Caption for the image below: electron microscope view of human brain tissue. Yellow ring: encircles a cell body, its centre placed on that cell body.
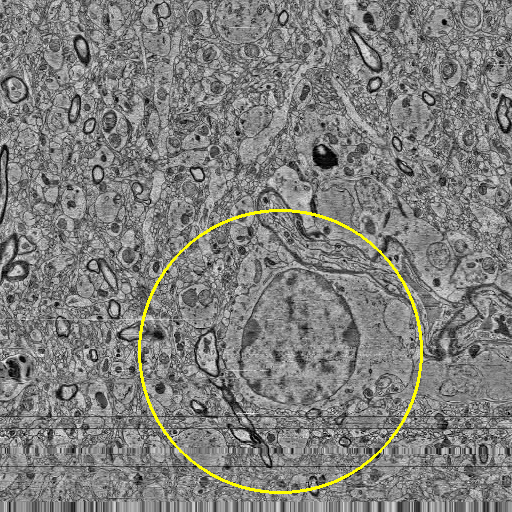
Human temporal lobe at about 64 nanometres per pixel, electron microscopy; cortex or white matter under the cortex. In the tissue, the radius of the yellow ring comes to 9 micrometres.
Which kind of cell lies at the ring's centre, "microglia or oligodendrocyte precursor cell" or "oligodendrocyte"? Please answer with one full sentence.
The picture shows a microglial cell or oligodendrocyte precursor cell at the centre of the yellow ring.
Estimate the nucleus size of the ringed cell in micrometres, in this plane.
In this plane, the nucleus is roughly 9 by 8 micrometres.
